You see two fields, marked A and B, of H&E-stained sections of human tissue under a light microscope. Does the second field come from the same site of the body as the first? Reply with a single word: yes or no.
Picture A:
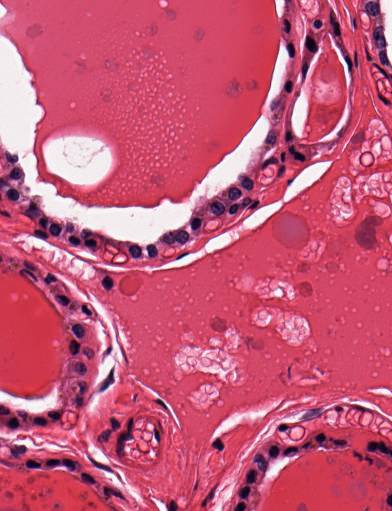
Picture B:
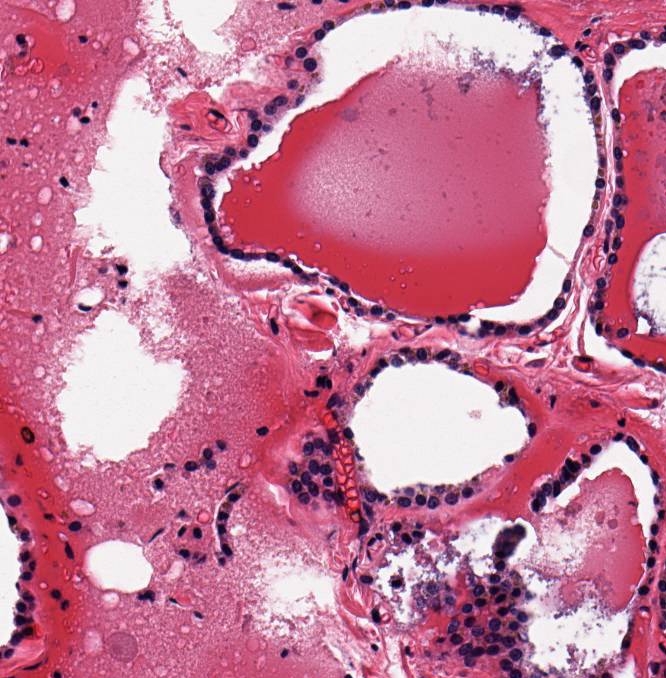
yes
